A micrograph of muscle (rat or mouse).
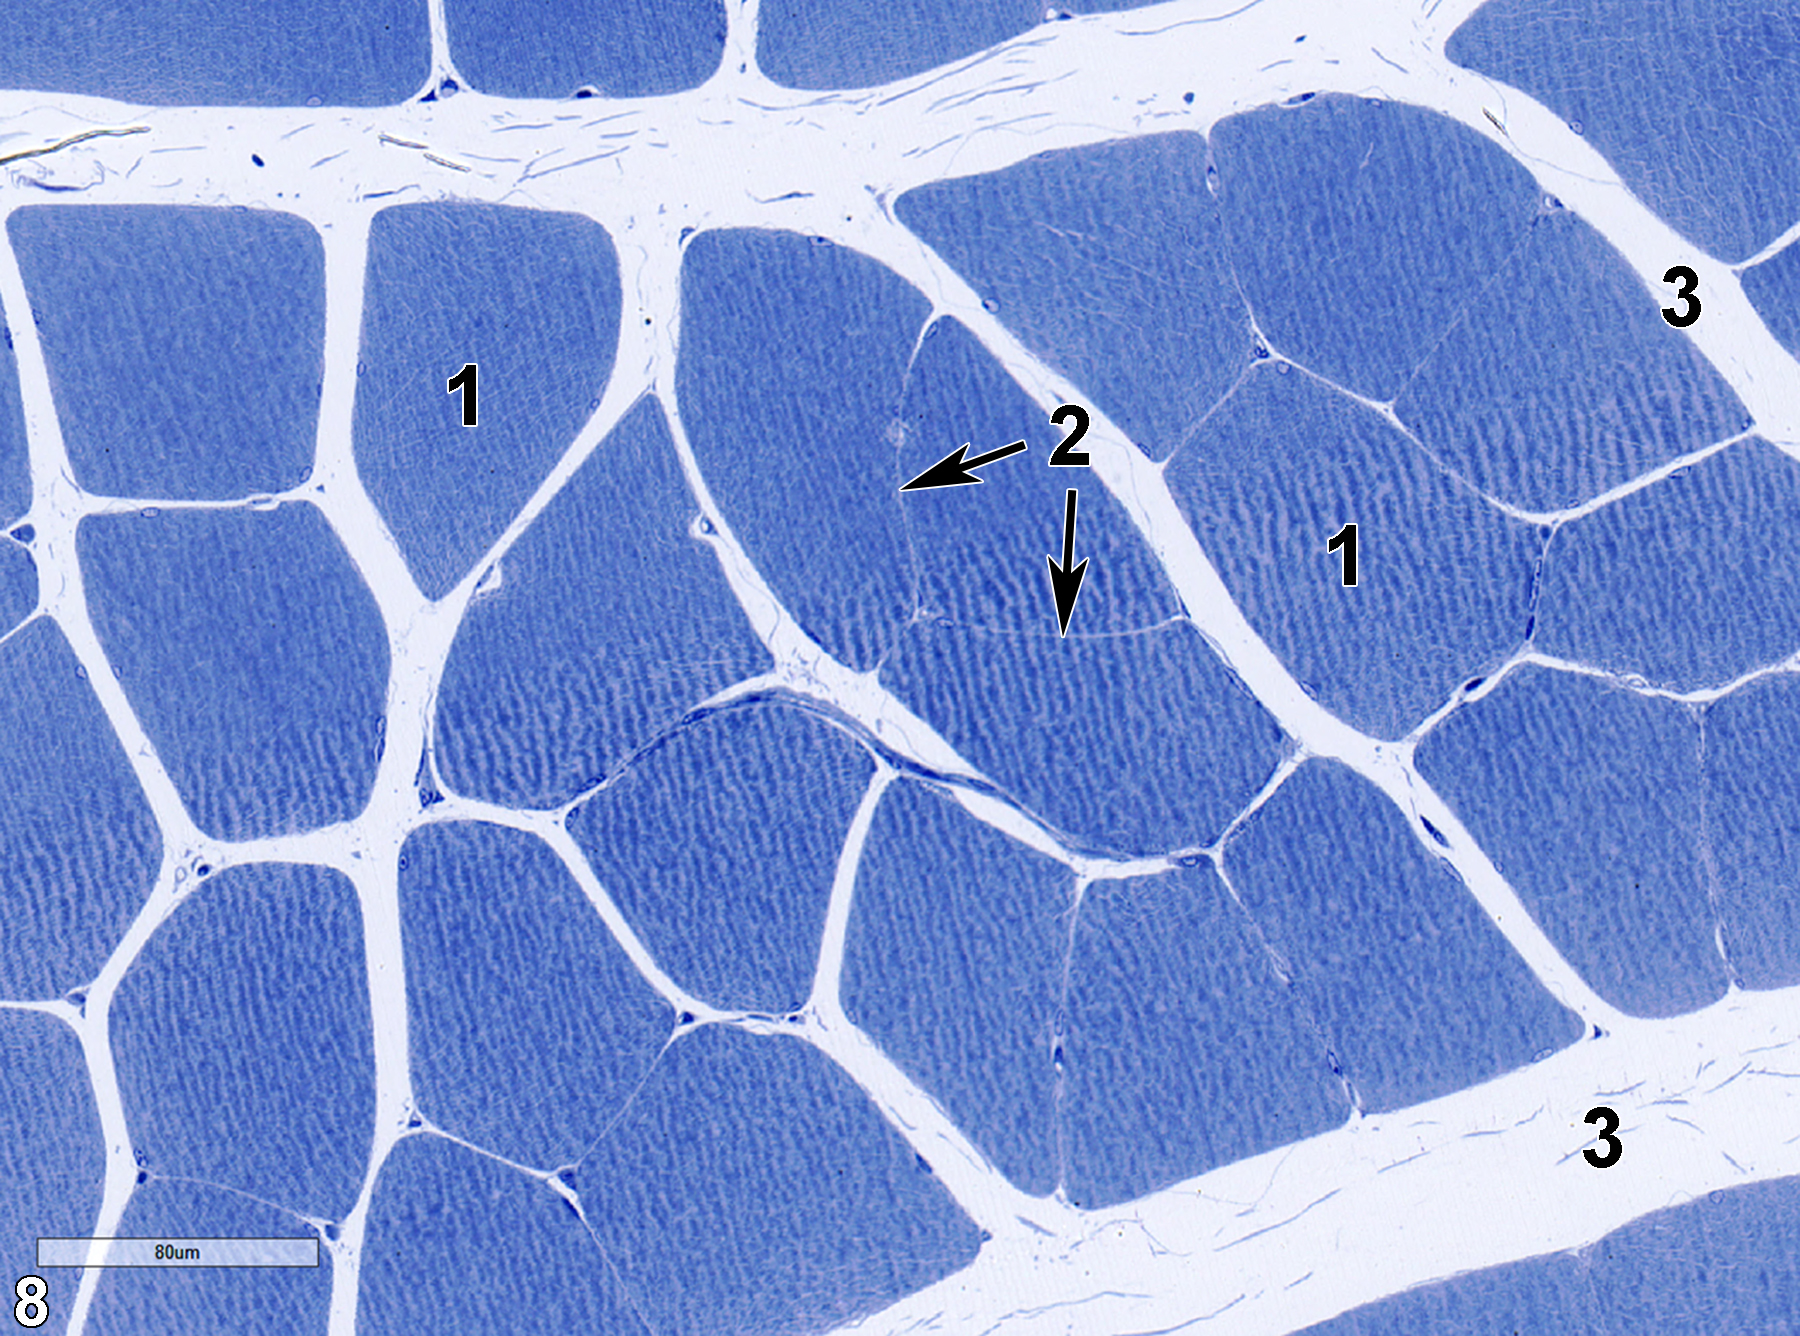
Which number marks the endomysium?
The endomysium: 2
